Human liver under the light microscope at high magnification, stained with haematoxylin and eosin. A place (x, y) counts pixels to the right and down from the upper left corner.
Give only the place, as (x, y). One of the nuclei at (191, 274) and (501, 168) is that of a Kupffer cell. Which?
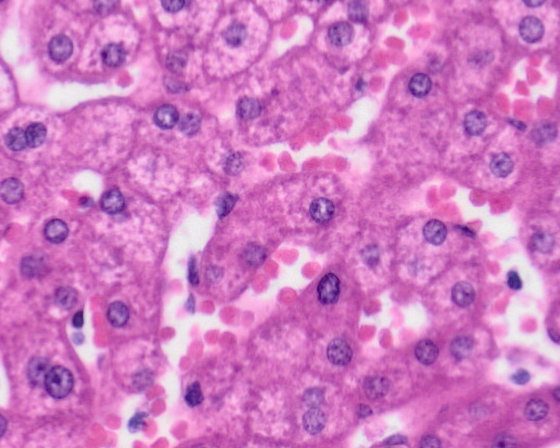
(191, 274)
